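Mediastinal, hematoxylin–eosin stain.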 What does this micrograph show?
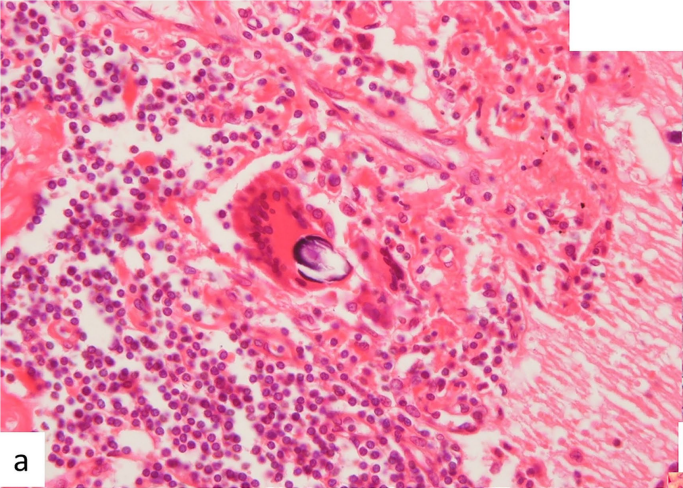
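This is lymph node tissue with a giant cell holding a Schaumann body. In the centre a large cell with dense, deep pink cytoplasm contains a dark purple, rounded, layered concretion, the Schaumann body. Around it lie many small, round, dark lymphocytes, closely packed. Towards the upper and right side the tissue turns to pink collagenous stroma with elongated spindle nuclei, and some pink blood-filled spaces are scattered through the field.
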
